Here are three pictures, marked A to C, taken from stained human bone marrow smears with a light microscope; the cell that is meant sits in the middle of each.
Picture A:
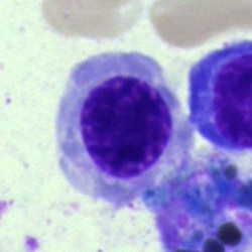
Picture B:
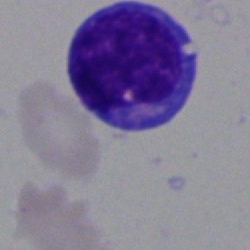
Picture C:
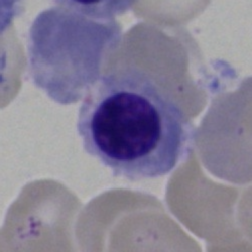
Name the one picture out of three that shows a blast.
B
